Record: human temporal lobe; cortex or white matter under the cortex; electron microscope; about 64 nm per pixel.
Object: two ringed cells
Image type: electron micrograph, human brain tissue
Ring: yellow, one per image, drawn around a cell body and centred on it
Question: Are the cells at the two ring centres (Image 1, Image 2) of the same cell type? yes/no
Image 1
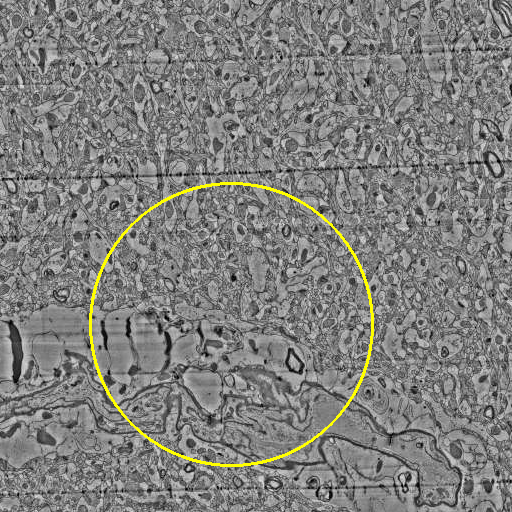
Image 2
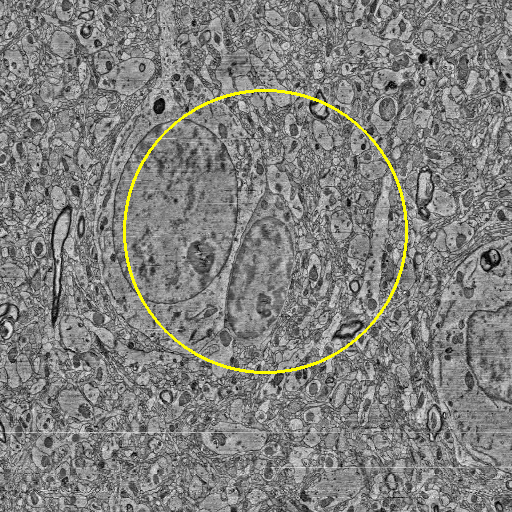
yes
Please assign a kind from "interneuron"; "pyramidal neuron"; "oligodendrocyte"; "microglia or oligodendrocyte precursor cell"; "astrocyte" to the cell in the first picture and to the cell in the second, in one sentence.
The cell in the first picture is an oligodendrocyte, and so is the one in the second.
